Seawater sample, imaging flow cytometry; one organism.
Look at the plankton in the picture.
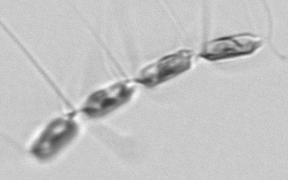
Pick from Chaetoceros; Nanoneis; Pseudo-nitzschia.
Chaetoceros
